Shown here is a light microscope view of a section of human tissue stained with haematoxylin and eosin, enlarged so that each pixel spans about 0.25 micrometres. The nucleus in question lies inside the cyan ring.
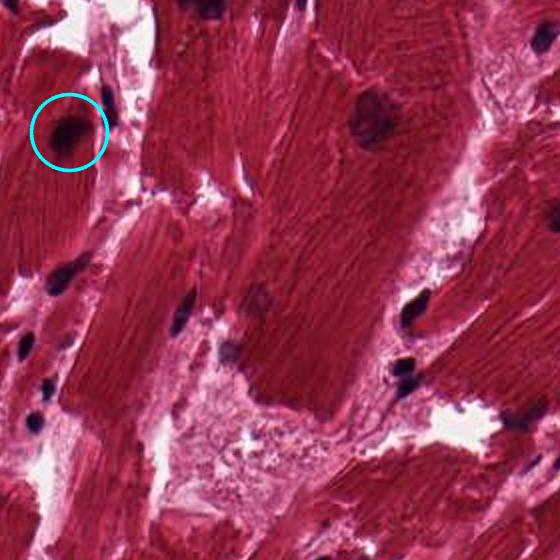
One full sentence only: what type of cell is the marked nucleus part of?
The mark indicates the nucleus of a cardiomyocyte.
